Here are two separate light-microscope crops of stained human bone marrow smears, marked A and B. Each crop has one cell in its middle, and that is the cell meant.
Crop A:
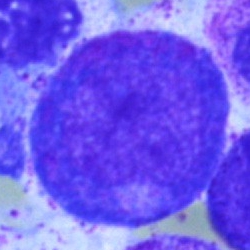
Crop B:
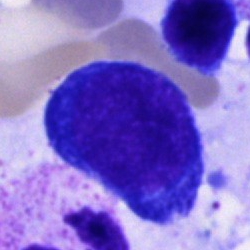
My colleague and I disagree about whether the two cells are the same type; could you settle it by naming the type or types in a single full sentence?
No, crop A features a promyelocyte, and crop B features a proerythroblast.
